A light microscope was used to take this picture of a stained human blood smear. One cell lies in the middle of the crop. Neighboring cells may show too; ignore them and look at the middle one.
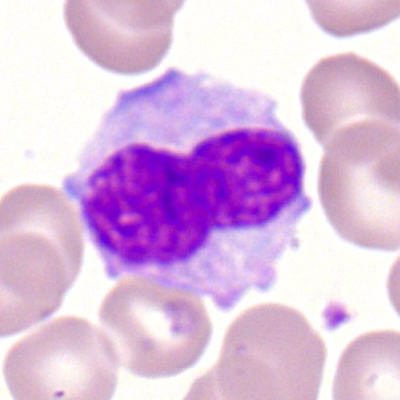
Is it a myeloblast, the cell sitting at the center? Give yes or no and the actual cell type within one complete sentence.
No, rather than being a myeloblast, the central cell is a monocyte.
